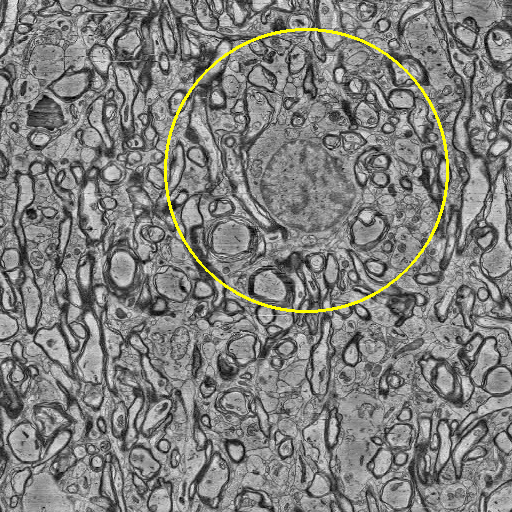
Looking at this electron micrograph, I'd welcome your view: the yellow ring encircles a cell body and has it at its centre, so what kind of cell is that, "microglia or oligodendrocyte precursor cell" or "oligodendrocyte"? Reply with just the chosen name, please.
oligodendrocyte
